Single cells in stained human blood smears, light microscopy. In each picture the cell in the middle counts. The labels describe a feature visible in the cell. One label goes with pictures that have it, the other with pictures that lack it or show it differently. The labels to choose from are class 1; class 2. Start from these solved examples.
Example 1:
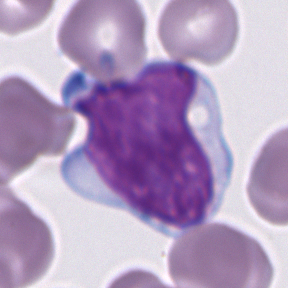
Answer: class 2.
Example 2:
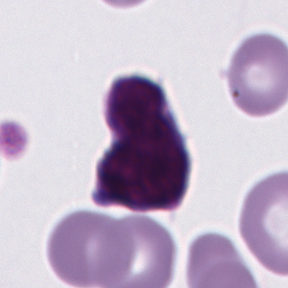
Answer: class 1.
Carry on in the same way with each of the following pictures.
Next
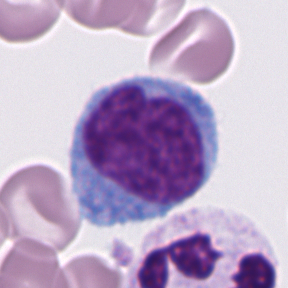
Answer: class 1.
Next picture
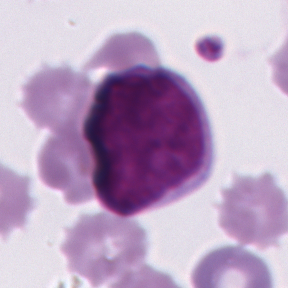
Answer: class 1.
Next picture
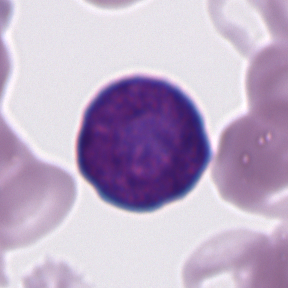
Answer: class 1.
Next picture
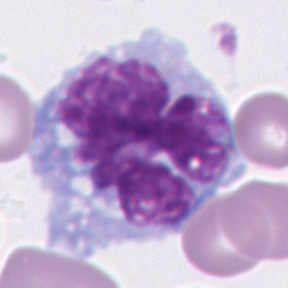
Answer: class 2.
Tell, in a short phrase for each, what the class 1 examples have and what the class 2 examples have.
class 1, no vacuoles; class 2, vacuoles present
